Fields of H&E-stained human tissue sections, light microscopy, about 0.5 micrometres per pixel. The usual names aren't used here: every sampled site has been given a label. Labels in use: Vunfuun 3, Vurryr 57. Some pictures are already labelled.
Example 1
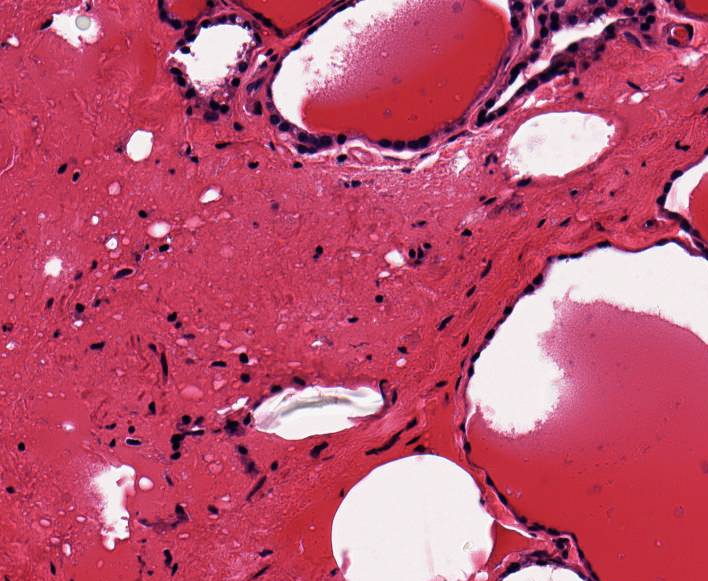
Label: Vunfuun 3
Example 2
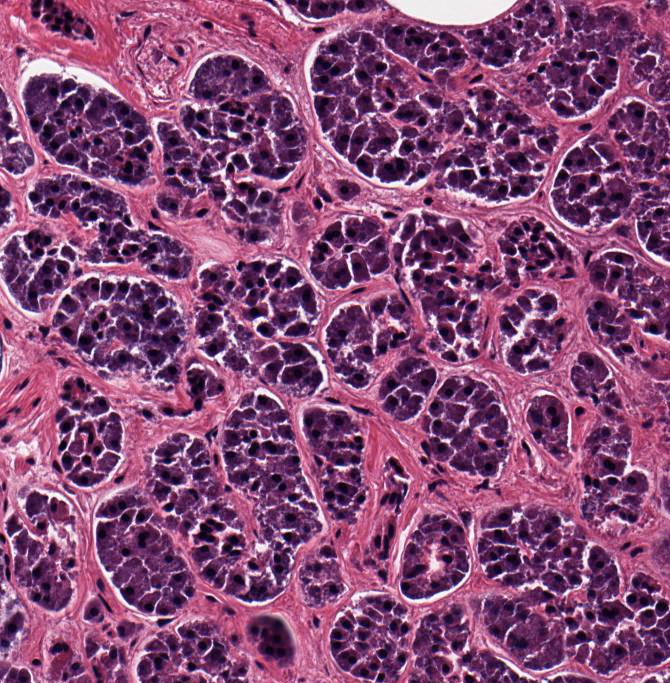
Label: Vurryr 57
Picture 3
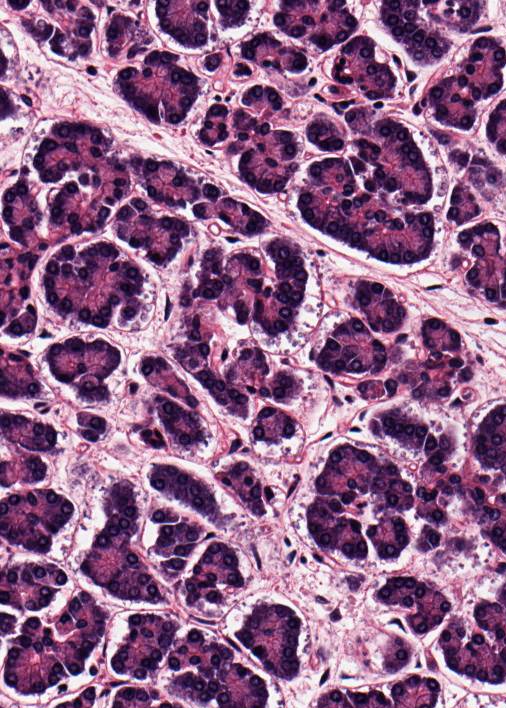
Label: Vurryr 57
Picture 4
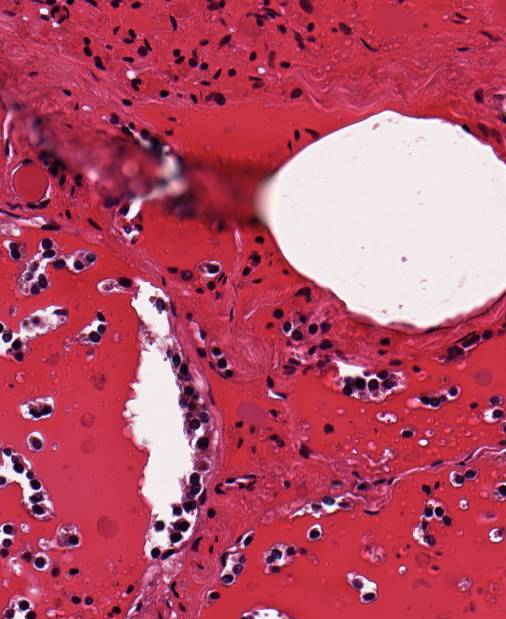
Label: Vunfuun 3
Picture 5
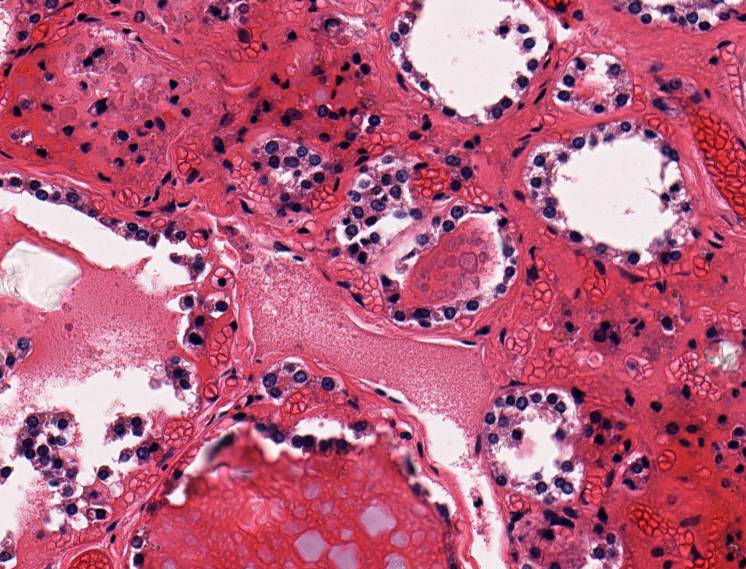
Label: Vunfuun 3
